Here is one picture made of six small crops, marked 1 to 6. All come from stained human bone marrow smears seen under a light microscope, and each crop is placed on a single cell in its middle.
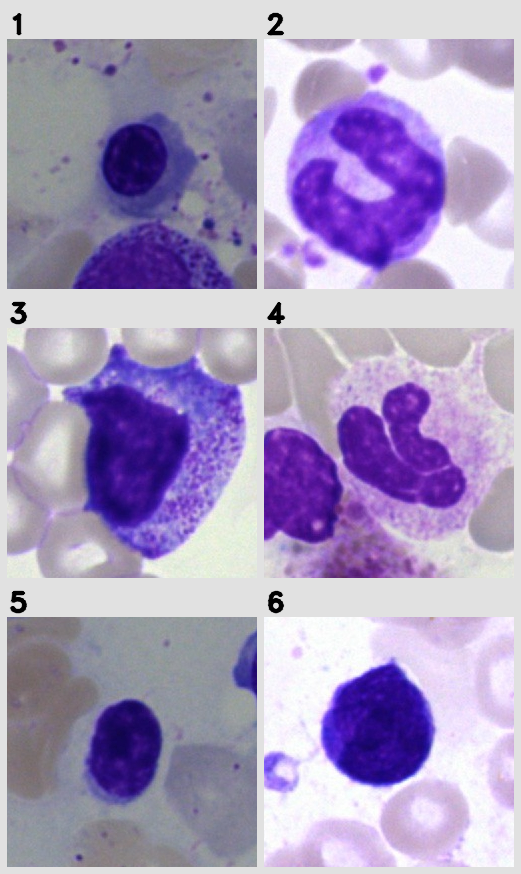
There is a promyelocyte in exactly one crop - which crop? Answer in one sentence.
The one crop in the set with a promyelocyte is crop 3.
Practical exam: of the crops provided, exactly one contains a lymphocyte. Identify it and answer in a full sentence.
Crop 5 is the crop that displays a lymphocyte.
